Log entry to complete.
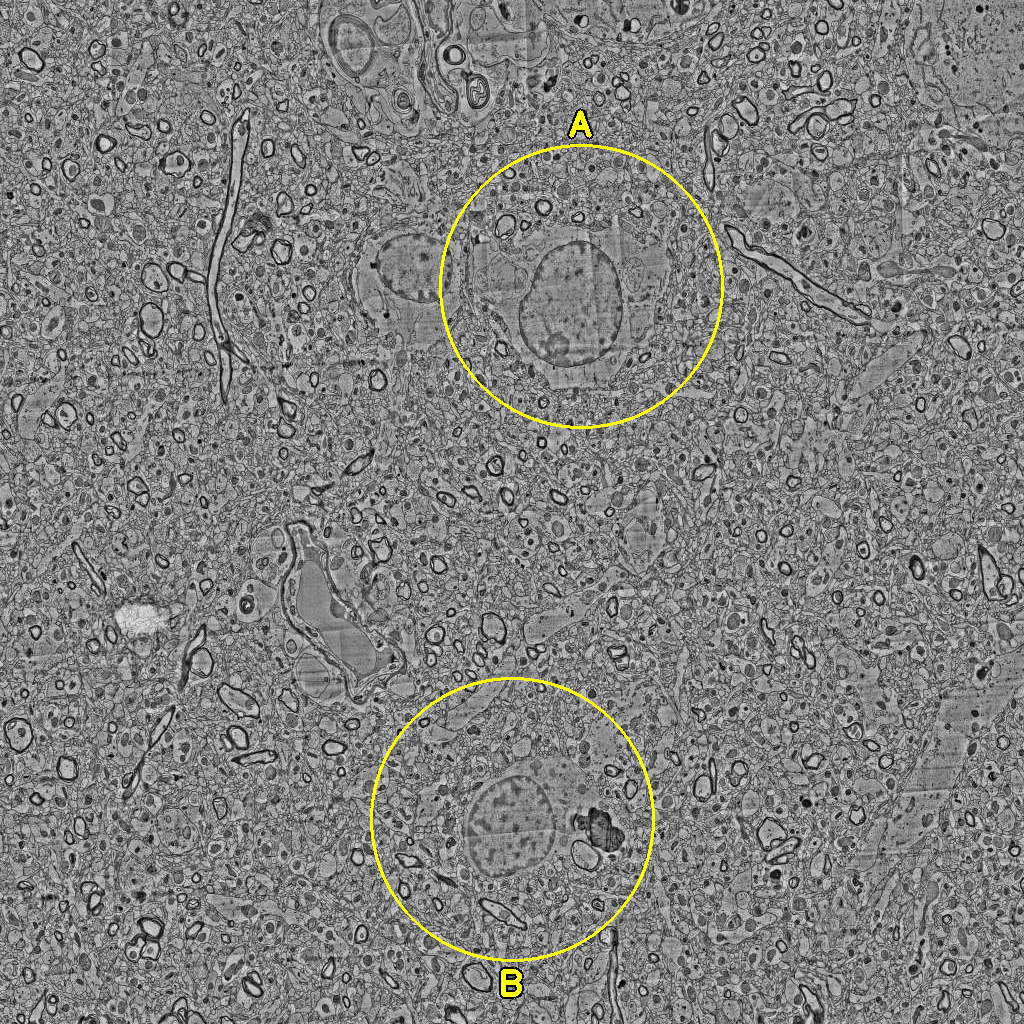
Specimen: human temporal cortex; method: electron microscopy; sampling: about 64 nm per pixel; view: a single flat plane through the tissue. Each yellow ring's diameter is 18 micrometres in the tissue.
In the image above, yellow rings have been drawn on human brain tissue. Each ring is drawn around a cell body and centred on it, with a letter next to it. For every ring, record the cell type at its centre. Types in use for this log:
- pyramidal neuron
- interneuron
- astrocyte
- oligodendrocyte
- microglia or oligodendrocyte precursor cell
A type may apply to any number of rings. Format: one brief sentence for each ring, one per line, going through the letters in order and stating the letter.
In ring A, the centred cell is an astrocyte.
In ring B, the centred cell is a microglial cell or oligodendrocyte precursor cell.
